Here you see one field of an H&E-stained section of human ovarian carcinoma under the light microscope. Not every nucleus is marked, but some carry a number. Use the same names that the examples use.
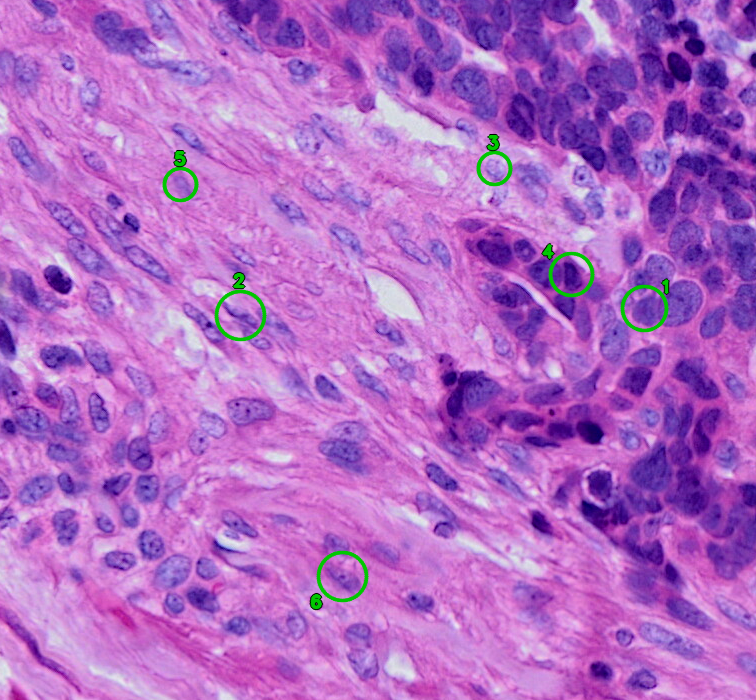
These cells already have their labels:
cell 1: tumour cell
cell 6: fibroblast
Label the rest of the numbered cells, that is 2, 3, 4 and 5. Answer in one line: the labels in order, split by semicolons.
fibroblast; fibroblast; tumour cell; fibroblast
